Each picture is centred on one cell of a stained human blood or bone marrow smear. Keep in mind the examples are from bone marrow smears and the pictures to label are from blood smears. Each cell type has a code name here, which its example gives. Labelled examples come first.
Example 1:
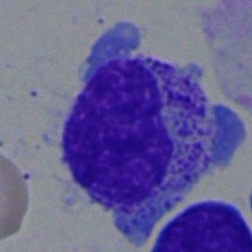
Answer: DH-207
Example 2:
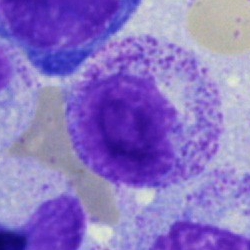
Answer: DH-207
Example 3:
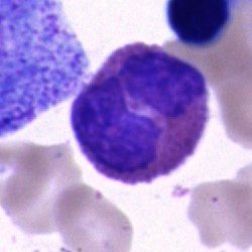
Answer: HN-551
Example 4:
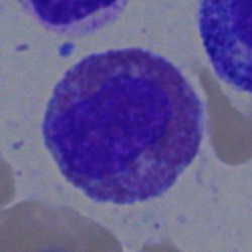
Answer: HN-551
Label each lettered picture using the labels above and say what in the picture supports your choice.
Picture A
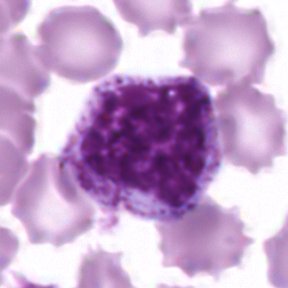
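Label: DH-207. Fine reddish-purple granules are scattered through the cytoplasm.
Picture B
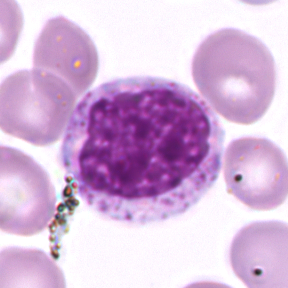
Label: DH-207. Fine purple granules are scattered through the cytoplasm.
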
